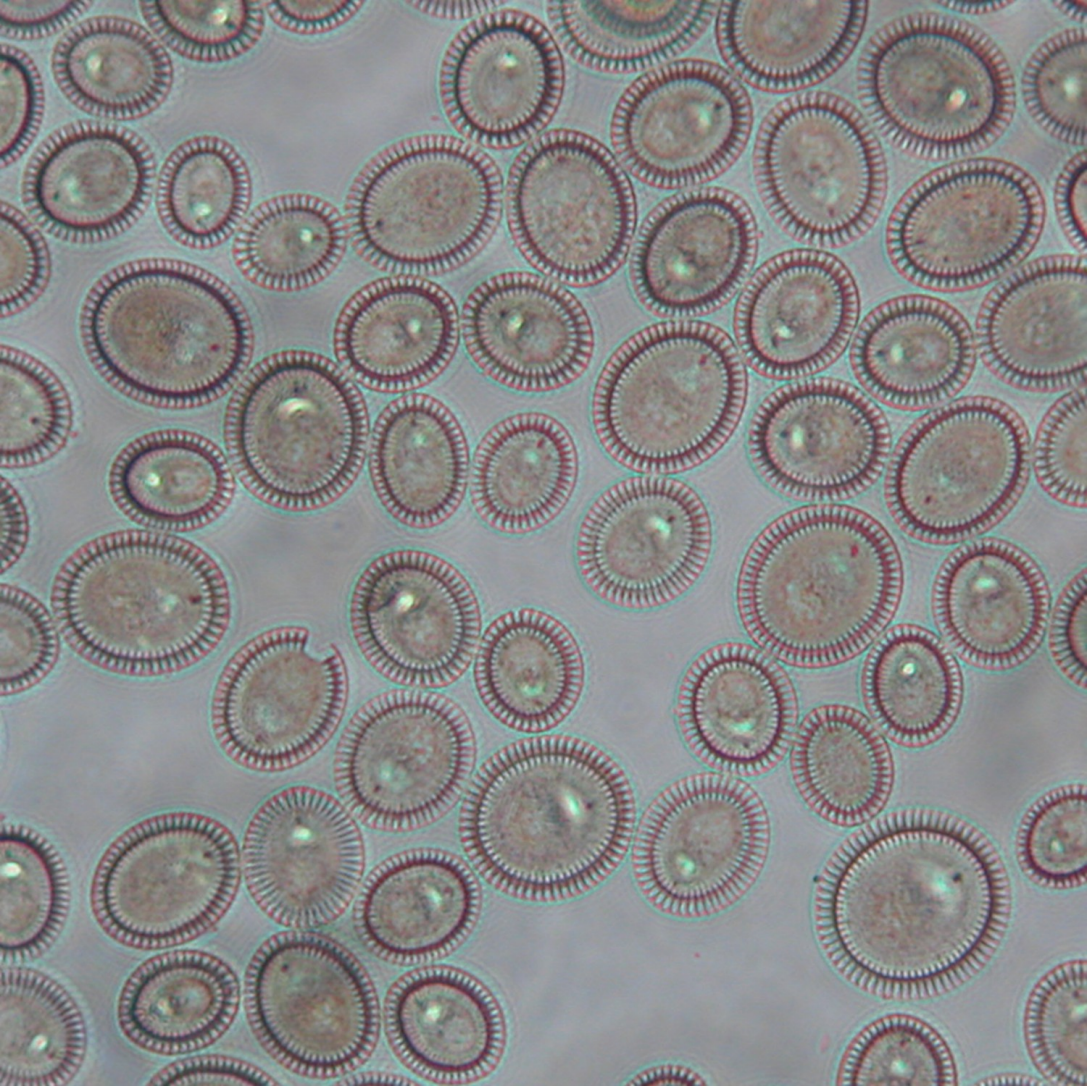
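A dark rim of fine, evenly spaced radial lines runs around the edge of each one. This rim surrounds a smooth, faintly granular central area that often holds a small bright spot.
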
